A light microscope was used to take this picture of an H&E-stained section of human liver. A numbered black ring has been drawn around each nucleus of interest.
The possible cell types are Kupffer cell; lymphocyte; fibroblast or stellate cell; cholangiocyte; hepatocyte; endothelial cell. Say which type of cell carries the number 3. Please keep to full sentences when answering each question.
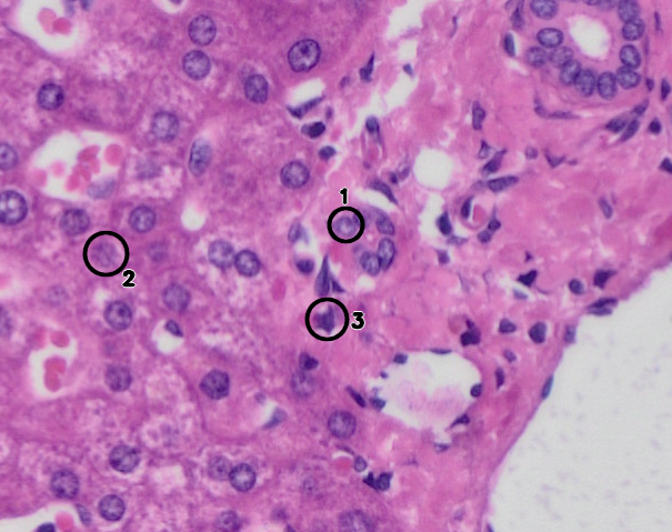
That cell with number 3 is a fibroblast or stellate cell.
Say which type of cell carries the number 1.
The nucleus with number 1 is that of a cholangiocyte.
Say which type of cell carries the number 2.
The nucleus marked 2 is the nucleus of a hepatocyte.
